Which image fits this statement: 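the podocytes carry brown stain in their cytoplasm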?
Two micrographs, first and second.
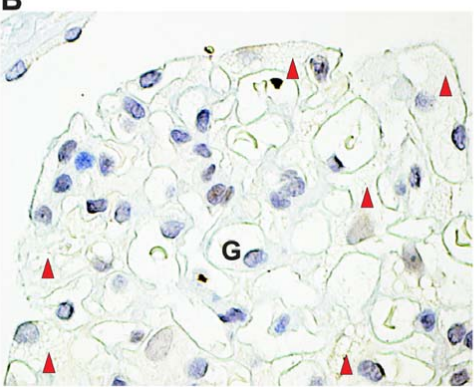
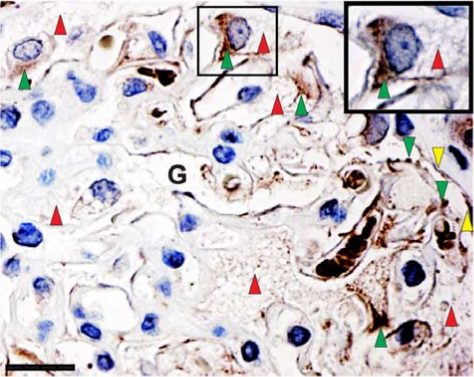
The second image.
